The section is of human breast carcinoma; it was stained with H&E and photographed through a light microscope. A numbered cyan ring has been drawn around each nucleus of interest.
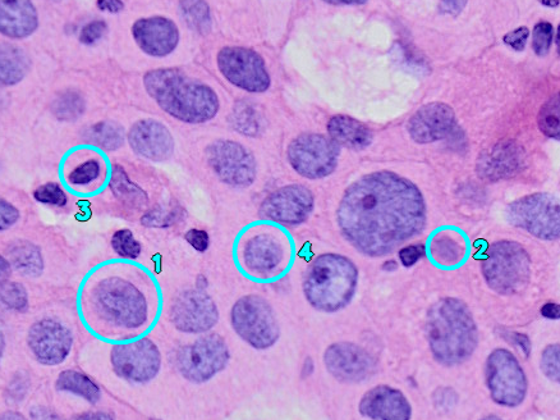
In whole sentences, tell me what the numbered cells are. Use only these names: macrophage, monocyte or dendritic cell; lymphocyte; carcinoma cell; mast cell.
Cell 1 is a carcinoma cell, cell 2 is a carcinoma cell, cell 3 is a lymphocyte and cell 4 is a carcinoma cell.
